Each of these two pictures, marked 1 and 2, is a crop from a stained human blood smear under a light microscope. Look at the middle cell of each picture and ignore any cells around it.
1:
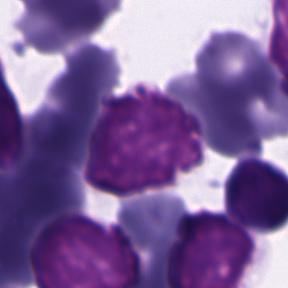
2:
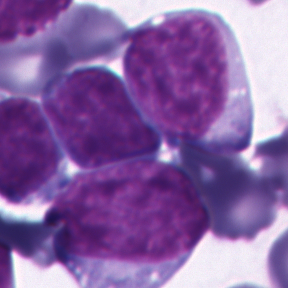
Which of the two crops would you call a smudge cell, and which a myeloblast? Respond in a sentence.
Well, crop 1 is a smudge cell, and crop 2 is a myeloblast.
